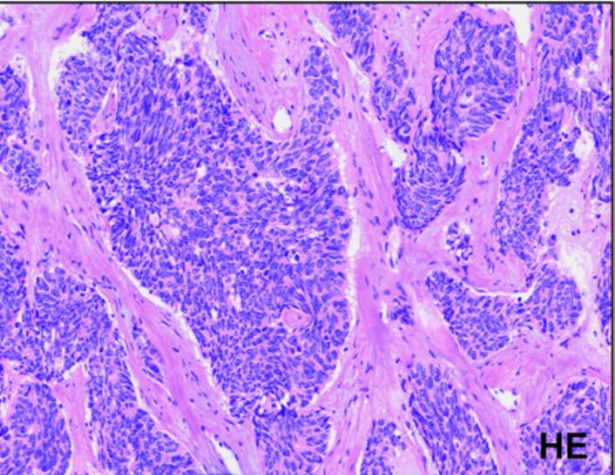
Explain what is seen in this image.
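The cells have oval to elongated, hyperchromatic nuclei that crowd against each other, with very scant cytoplasm, so the nests appear almost uniformly blue-purple. No gland formation is present. The nests are separated by bands of pink fibrous stroma containing scattered spindle-shaped fibroblast nuclei and small vessels, and a few clefts separate tumour nests from stroma.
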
